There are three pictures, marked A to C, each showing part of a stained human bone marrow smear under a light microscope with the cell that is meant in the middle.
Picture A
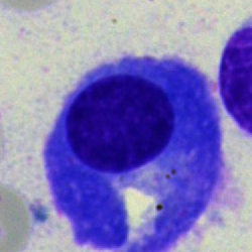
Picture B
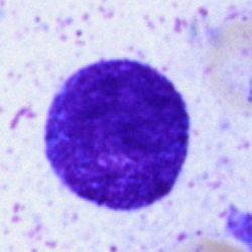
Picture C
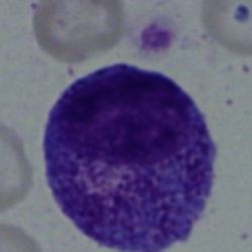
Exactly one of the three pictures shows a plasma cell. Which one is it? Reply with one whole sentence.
The picture with the plasma cell is A.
